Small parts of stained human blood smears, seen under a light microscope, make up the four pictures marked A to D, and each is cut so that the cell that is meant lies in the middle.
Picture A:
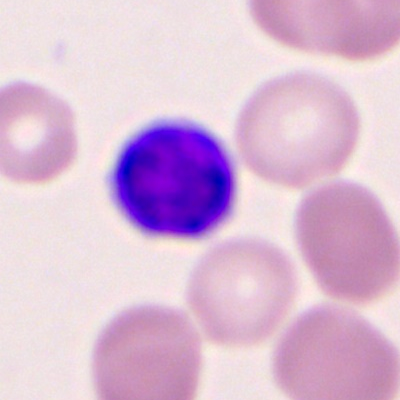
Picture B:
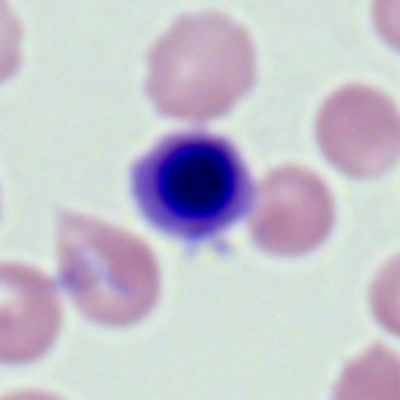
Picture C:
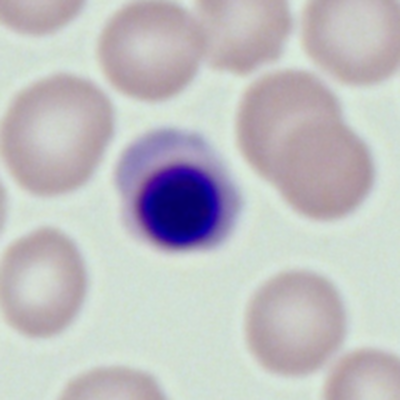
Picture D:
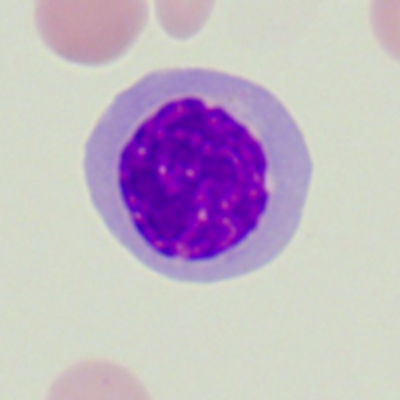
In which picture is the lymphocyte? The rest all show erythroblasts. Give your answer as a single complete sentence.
The picture with the lymphocyte is A.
